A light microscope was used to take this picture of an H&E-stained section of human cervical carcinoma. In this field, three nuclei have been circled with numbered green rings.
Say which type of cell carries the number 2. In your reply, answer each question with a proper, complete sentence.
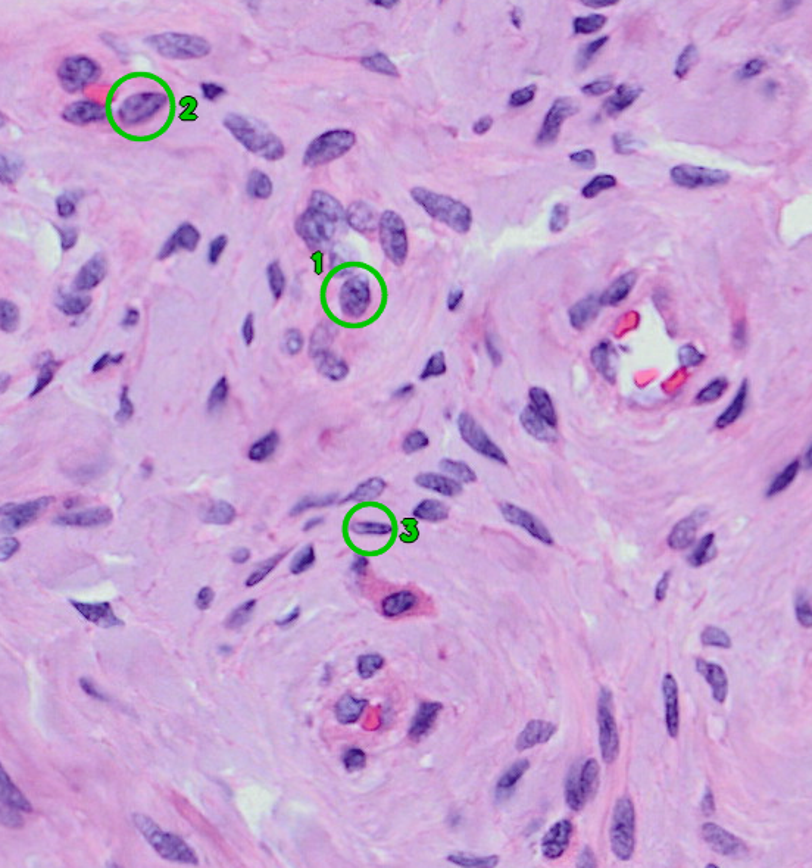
The cell marked with number 2 is an endothelial cell.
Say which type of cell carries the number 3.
The numbered cell 3 in this field is a fibroblast.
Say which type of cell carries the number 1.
Within this field of view, the cell labelled 1 is an endothelial cell.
